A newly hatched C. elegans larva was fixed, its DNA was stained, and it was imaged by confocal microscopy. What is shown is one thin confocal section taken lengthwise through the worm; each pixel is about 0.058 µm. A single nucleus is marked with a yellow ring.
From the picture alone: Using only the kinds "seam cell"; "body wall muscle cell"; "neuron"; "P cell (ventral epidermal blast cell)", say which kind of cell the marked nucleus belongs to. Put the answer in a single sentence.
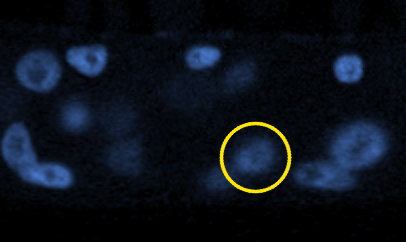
The marked cell is a P cell (ventral epidermal blast cell).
